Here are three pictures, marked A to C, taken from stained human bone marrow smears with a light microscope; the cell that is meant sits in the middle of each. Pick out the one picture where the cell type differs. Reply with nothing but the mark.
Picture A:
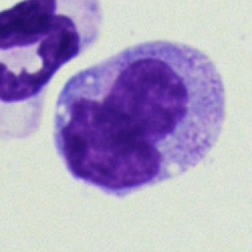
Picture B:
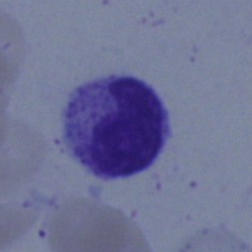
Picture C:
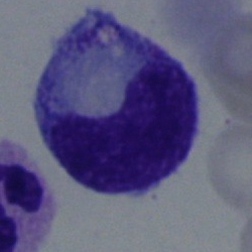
A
